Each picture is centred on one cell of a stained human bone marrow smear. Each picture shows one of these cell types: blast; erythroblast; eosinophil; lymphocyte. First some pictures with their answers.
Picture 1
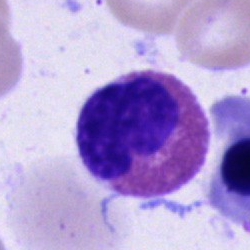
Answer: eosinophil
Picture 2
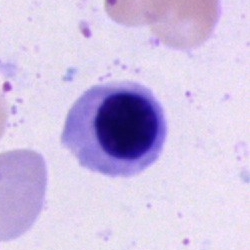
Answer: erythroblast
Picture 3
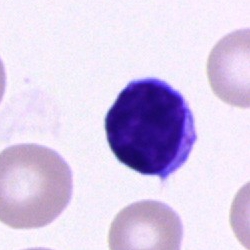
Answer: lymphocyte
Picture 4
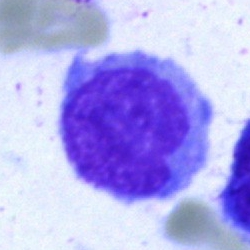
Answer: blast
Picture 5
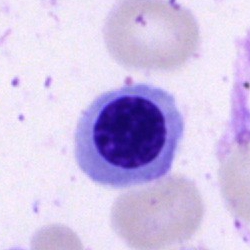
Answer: erythroblast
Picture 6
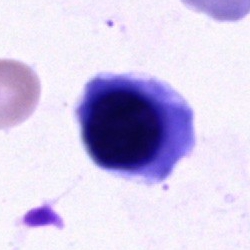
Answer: erythroblast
